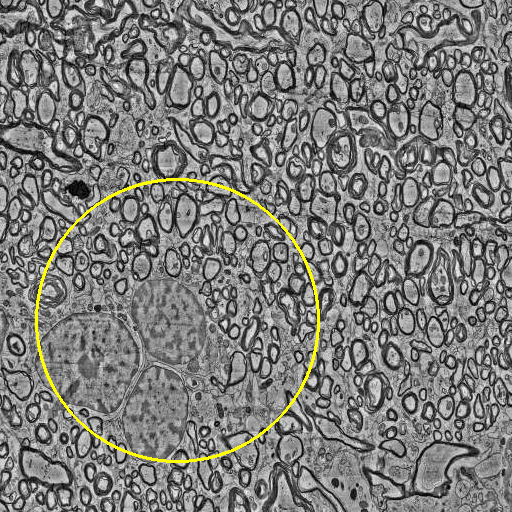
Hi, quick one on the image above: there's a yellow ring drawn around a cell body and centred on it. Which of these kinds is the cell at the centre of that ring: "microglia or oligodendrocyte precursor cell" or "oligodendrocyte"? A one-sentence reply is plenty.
The cell at the centre of the ring is an oligodendrocyte.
